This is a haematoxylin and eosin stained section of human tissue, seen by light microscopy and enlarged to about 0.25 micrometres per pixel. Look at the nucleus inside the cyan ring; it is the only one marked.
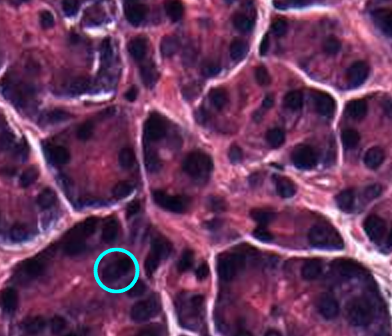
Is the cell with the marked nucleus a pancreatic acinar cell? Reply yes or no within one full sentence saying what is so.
Yes, the marked nucleus belongs to a pancreatic acinar cell in this image.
